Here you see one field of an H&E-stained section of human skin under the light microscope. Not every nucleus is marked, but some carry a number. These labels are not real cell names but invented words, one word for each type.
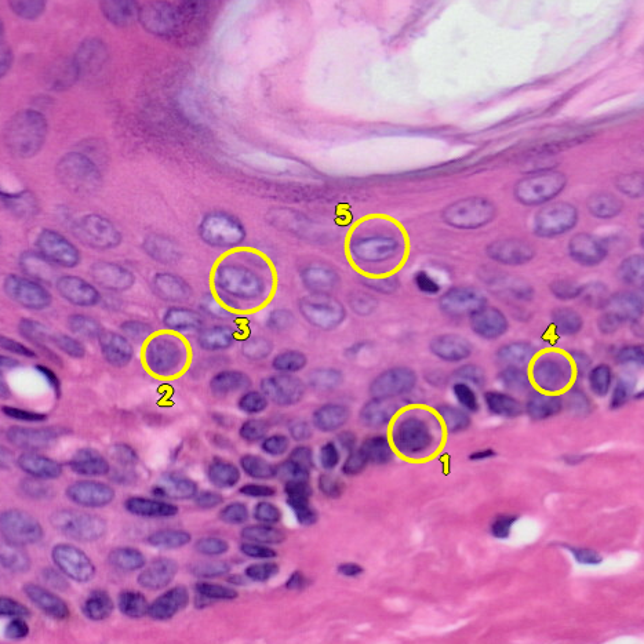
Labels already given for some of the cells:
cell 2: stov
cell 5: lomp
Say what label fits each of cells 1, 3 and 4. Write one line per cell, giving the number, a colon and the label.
1: stov
3: lomp
4: stov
